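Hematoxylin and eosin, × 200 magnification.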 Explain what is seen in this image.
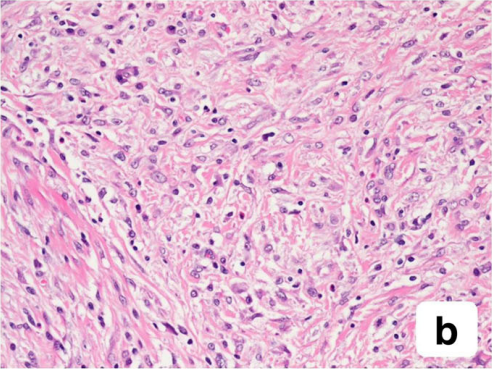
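This is a fibrous tumor made of fibroblast-like spindle cells arranged in a storiform pattern. The cells have elongated to oval nuclei with fine chromatin and pale pink, ill-defined cytoplasm. They run in short fascicles that cross and whorl around one another within a pink collagenous stroma.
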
